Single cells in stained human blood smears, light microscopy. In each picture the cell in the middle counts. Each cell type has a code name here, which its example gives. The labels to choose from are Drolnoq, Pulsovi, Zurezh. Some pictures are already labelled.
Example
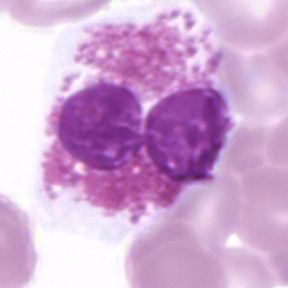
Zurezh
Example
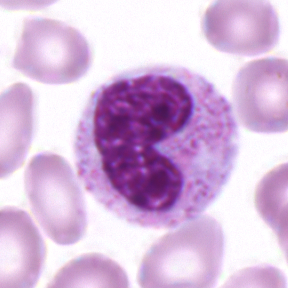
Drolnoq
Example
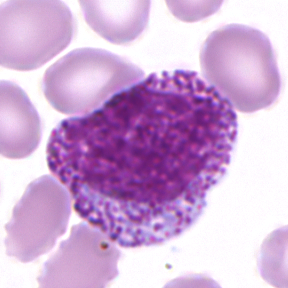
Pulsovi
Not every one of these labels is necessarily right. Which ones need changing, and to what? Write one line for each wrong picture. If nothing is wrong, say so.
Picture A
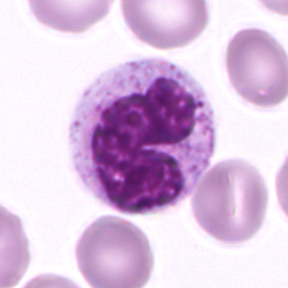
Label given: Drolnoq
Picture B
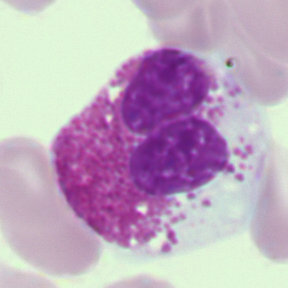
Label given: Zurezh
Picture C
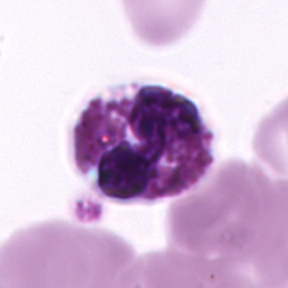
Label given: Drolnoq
C is labelled Drolnoq; correct label: Zurezh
